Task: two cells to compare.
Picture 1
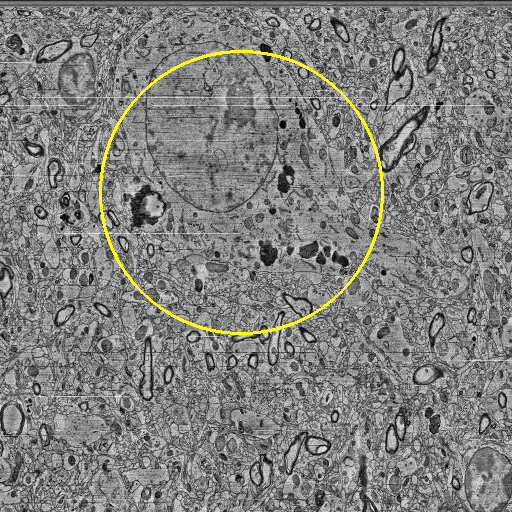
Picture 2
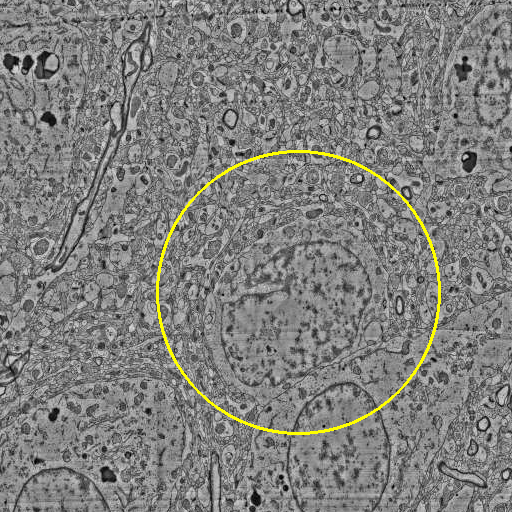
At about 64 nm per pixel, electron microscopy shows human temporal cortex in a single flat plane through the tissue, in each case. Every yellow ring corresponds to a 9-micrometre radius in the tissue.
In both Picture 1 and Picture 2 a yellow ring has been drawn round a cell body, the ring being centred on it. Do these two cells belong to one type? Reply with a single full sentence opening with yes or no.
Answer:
No, the two cells at the ring centres in Picture 1 and Picture 2 are of two types.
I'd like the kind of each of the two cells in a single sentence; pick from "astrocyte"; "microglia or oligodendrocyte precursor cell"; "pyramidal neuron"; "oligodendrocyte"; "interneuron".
The first ring marks a pyramidal neuron, and the second ring marks an interneuron.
